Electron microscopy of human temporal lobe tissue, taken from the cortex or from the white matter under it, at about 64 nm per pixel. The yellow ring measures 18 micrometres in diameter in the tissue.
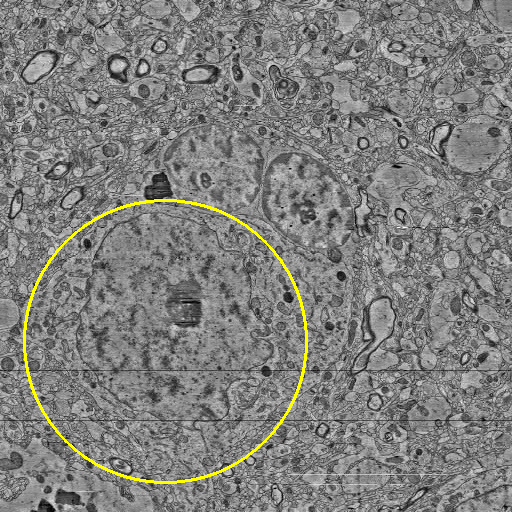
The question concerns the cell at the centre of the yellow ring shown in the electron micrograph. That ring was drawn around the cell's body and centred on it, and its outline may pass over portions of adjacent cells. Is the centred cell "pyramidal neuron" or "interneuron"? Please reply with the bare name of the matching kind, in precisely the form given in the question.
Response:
interneuron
